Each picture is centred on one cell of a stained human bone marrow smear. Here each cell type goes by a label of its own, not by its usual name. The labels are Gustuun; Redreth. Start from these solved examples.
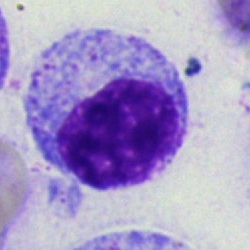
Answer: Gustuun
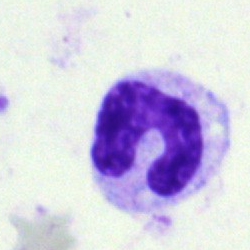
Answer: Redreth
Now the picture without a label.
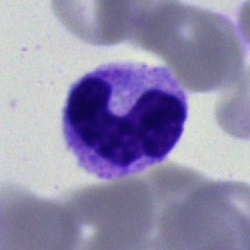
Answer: Redreth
